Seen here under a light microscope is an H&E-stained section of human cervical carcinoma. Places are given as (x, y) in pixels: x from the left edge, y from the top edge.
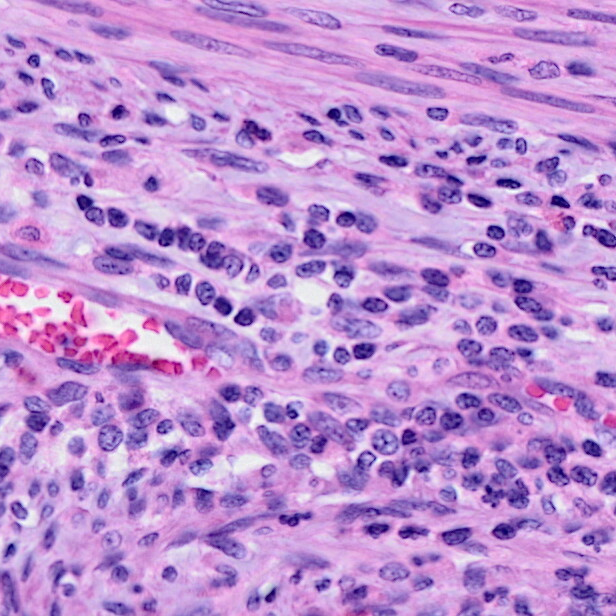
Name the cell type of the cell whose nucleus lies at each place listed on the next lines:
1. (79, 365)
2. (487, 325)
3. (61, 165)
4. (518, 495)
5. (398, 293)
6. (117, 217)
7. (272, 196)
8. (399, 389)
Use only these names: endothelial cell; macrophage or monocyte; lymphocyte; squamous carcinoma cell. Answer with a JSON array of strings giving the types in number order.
["endothelial cell", "lymphocyte", "macrophage or monocyte", "lymphocyte", "lymphocyte", "lymphocyte", "macrophage or monocyte", "endothelial cell"]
